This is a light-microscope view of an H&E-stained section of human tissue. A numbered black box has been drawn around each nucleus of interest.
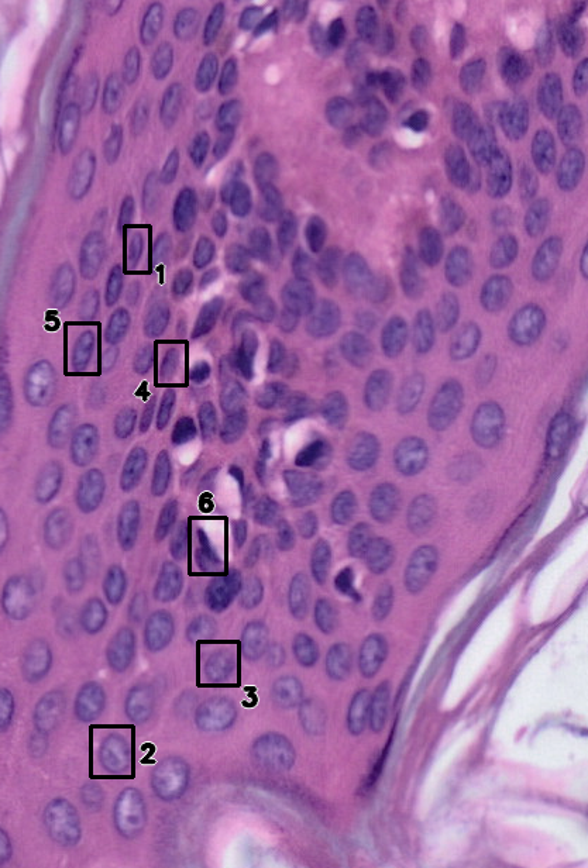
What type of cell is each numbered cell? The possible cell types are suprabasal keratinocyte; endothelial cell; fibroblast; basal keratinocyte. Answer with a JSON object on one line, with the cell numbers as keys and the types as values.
{"1": "suprabasal keratinocyte", "2": "suprabasal keratinocyte", "3": "suprabasal keratinocyte", "4": "basal keratinocyte", "5": "suprabasal keratinocyte", "6": "basal keratinocyte"}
